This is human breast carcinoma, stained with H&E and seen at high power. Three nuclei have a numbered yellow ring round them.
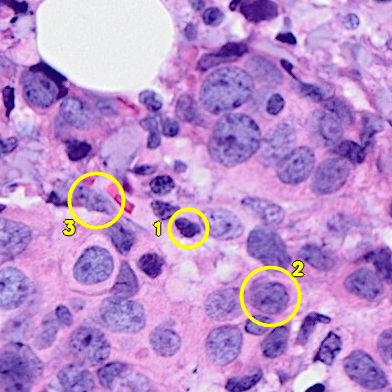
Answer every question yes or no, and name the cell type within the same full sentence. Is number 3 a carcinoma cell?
No, cell 3 is classified as an endothelial cell rather than a carcinoma cell.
